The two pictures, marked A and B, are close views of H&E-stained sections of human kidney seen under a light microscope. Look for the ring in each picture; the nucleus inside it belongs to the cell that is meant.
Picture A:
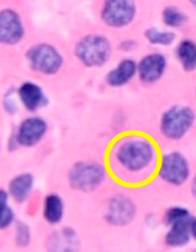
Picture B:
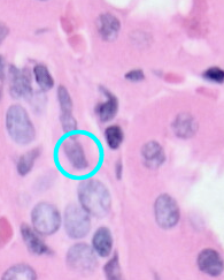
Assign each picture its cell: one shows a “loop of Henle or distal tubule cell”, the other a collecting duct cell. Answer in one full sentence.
The cell in picture A is a “loop of Henle or distal tubule cell”, and the one in picture B is a collecting duct cell.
